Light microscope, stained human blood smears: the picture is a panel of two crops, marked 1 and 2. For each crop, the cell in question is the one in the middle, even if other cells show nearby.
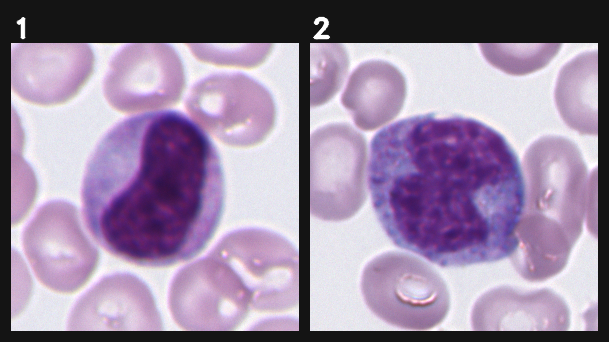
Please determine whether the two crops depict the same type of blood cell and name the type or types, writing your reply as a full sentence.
No, a metamyelocyte is in crop 1, while a monocyte is in crop 2.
